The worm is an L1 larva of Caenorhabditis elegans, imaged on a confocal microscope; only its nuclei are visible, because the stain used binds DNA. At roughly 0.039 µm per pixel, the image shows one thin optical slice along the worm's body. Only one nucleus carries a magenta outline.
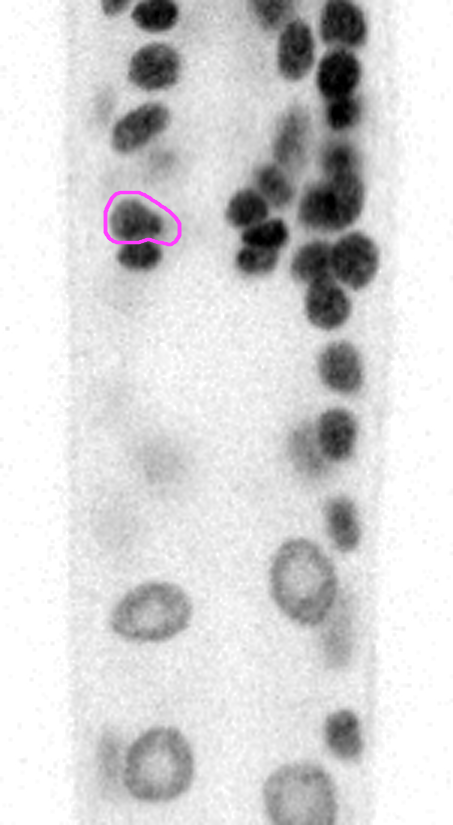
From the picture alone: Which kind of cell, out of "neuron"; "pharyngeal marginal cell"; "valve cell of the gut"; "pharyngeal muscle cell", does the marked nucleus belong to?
valve cell of the gut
